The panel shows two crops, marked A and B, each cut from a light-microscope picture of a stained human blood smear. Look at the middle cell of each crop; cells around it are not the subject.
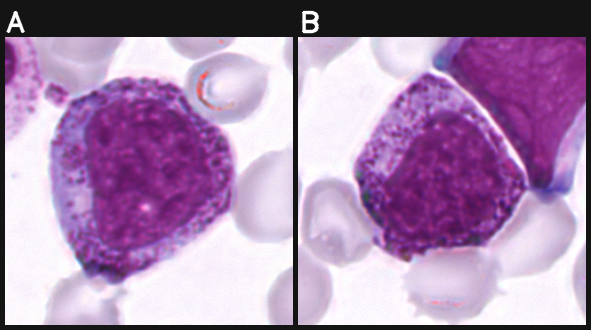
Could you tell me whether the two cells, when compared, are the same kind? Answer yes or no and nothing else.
no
